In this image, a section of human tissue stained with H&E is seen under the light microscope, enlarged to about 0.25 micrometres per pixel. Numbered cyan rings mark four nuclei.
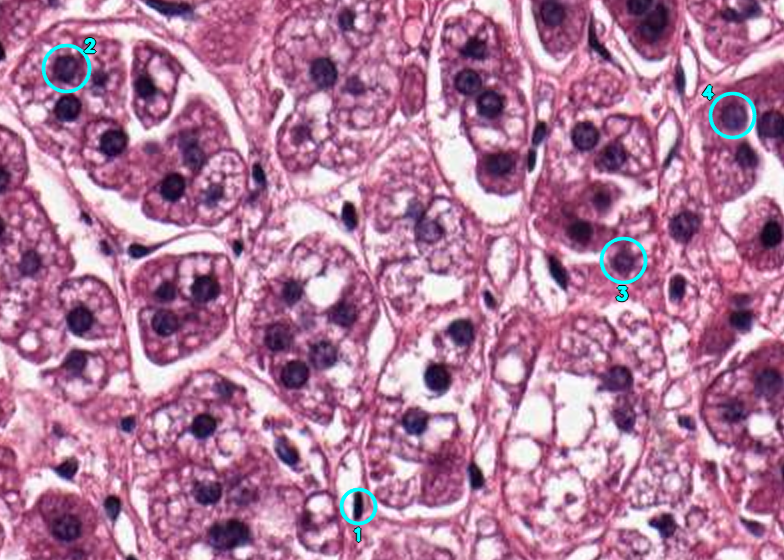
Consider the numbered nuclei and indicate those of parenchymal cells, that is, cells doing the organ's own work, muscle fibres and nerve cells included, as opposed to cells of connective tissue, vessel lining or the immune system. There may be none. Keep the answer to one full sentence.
The nuclei labelled 2, 3 and 4 each belong to a parenchymal cell.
